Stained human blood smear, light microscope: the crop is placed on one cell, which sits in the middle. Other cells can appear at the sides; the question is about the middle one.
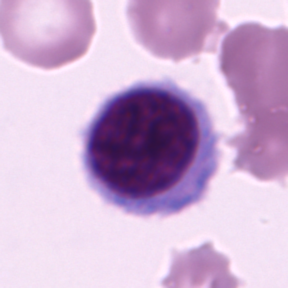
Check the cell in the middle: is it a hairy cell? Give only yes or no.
yes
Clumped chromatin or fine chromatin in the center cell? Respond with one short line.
One feature to record is coarsely clumped chromatin.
